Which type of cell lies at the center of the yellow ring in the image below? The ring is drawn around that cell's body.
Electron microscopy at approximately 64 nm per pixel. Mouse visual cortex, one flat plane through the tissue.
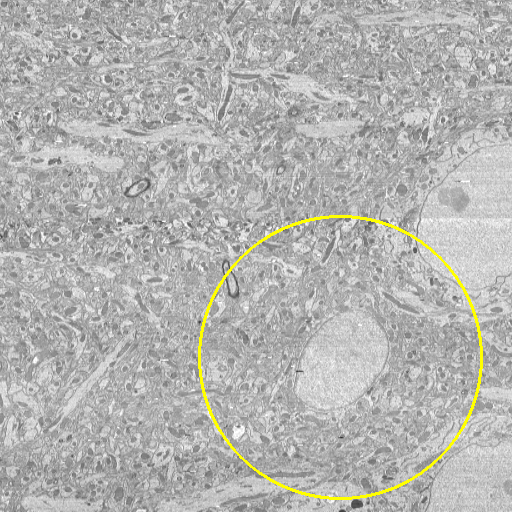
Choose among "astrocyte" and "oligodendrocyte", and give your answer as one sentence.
The cell body at the center belongs to an astrocyte.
